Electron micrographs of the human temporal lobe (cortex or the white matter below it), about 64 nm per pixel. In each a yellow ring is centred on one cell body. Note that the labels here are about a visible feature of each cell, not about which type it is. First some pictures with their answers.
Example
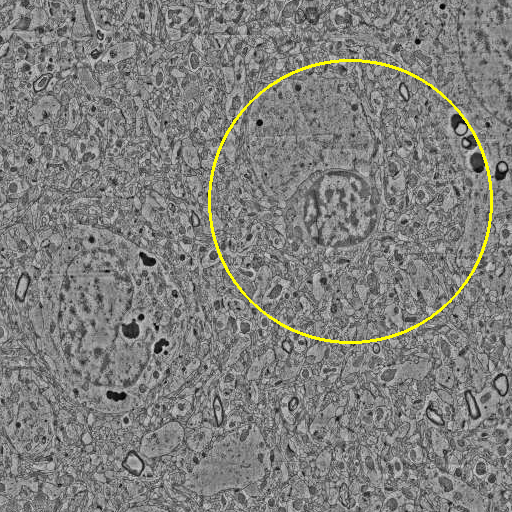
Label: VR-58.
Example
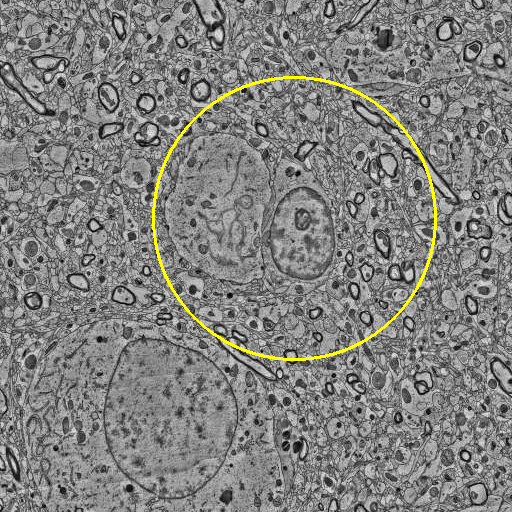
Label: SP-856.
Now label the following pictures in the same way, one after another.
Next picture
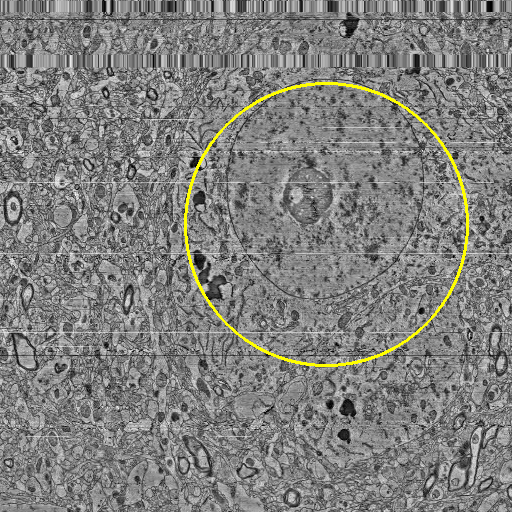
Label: SP-856.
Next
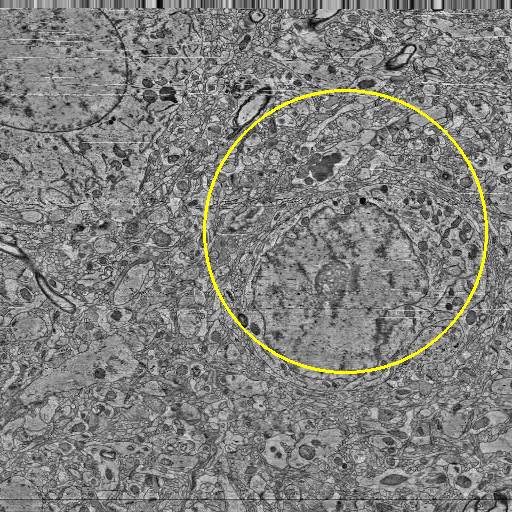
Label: SP-856.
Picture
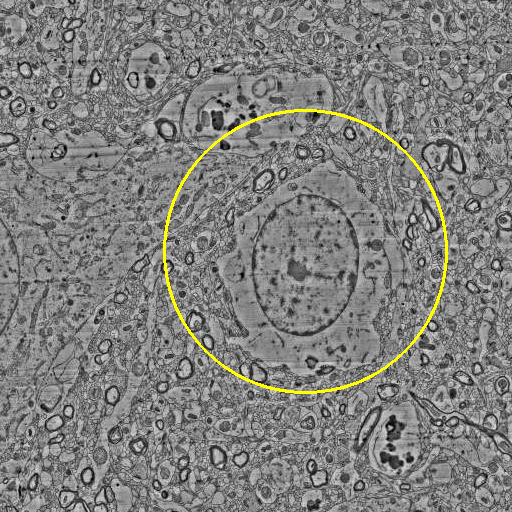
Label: SP-856.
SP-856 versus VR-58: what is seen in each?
In SP-856: nucleolus seen. In VR-58: no nucleolus seen.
